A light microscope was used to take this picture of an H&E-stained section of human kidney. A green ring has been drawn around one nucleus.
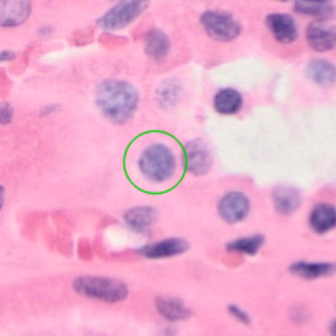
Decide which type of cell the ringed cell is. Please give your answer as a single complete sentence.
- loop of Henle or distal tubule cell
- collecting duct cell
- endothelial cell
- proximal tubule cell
Considered by cell type, the ringed cell is a loop of Henle or distal tubule cell.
